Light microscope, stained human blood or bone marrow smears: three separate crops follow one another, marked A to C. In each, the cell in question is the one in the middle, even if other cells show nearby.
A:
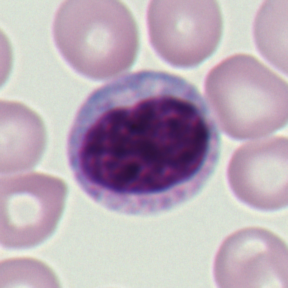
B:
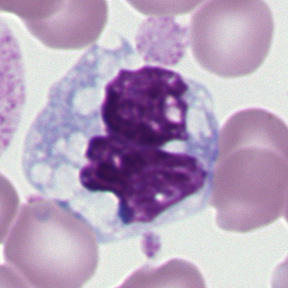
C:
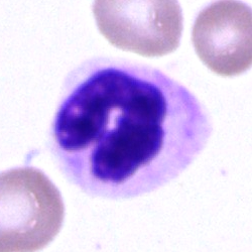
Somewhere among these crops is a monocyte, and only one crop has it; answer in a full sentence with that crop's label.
The crop that shows a monocyte is crop B.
